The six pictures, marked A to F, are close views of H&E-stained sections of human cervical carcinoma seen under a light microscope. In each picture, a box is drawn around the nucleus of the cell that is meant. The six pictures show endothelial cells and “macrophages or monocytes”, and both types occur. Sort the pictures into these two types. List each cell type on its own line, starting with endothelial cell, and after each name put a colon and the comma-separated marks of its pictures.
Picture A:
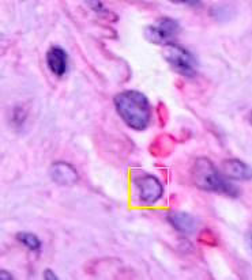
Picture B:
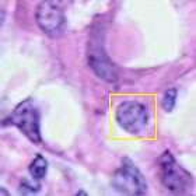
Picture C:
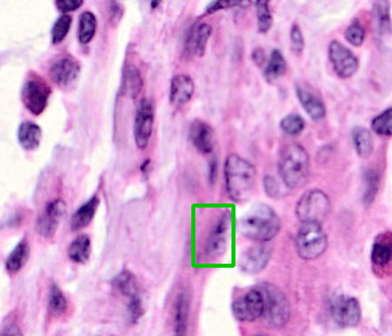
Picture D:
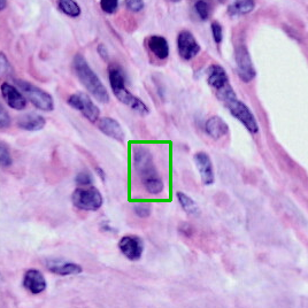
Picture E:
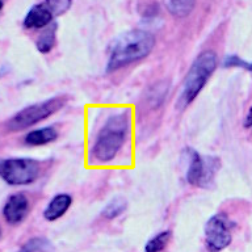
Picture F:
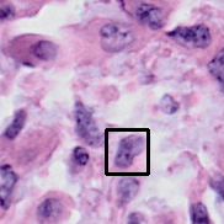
endothelial cell: A, C
macrophage or monocyte: B, D, E, F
